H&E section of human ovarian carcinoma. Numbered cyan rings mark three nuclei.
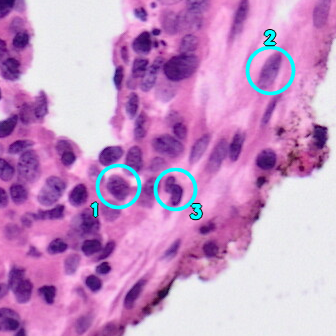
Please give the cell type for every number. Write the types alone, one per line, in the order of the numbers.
carcinoma cell
fibroblast
macrophage or monocyte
